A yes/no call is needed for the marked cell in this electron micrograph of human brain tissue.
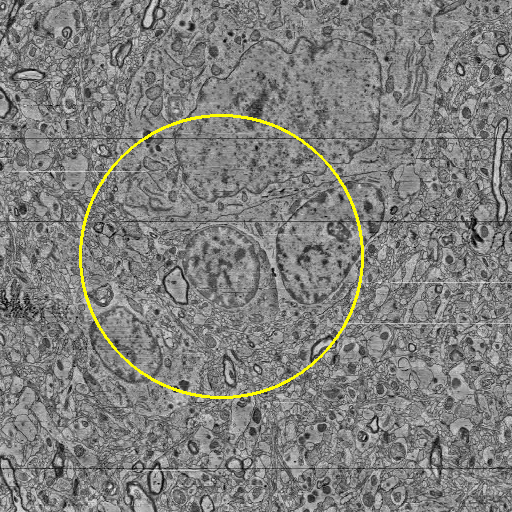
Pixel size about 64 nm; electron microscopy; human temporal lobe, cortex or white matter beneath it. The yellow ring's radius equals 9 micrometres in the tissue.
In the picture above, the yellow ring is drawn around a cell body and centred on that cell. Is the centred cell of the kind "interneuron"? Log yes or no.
no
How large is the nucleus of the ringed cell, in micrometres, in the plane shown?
In this plane, approximately 5 micrometres across.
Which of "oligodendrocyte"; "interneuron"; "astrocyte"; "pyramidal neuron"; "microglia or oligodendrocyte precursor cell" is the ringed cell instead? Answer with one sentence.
In this picture, the ring is centred on an oligodendrocyte.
